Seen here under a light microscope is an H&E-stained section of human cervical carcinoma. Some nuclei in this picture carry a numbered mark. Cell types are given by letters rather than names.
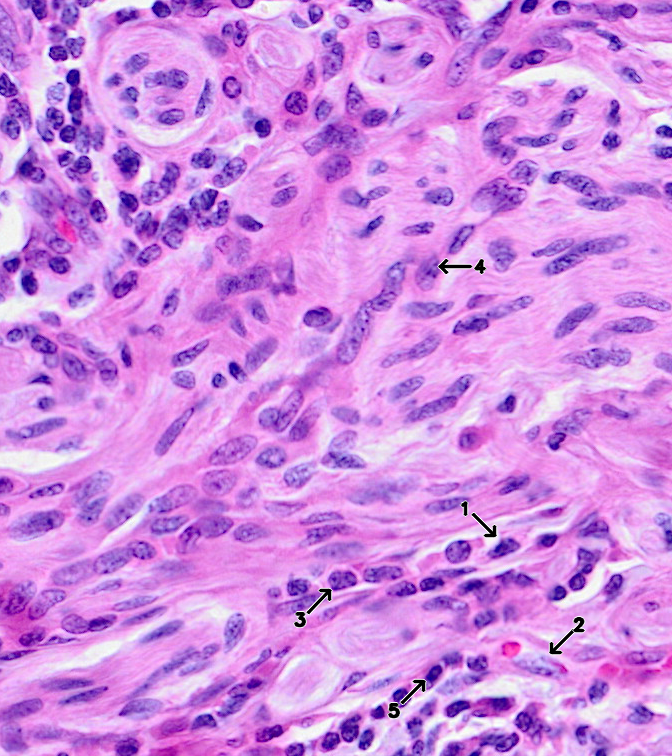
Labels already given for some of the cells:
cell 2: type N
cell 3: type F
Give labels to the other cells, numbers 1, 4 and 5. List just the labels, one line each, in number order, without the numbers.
type F
type N
type F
